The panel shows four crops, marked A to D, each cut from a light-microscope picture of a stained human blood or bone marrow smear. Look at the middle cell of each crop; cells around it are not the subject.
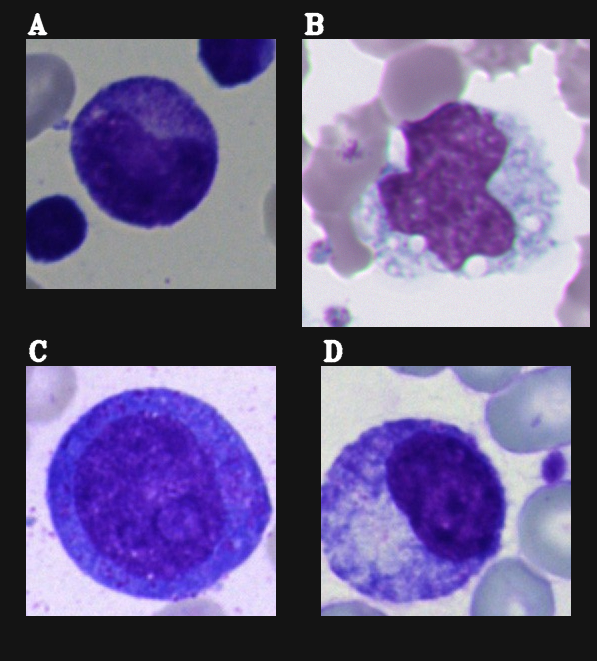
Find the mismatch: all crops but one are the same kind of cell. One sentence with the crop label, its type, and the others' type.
Only in crop B is there a monocyte; all other crops show promyelocytes.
